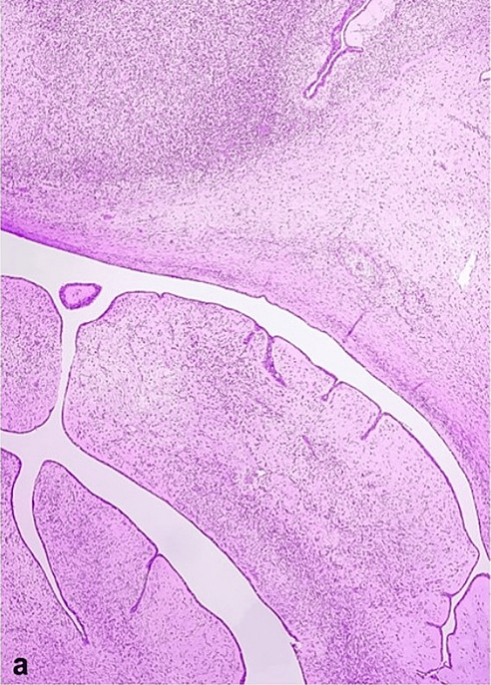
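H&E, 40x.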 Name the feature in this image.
Leaf-like fronds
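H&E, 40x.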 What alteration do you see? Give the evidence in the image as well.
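Some areas of stroma are denser and more purple than the paler surrounding stroma. The denser stroma lies next to the cleft-lined fronds. On this evidence: stromal hypercellularity.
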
